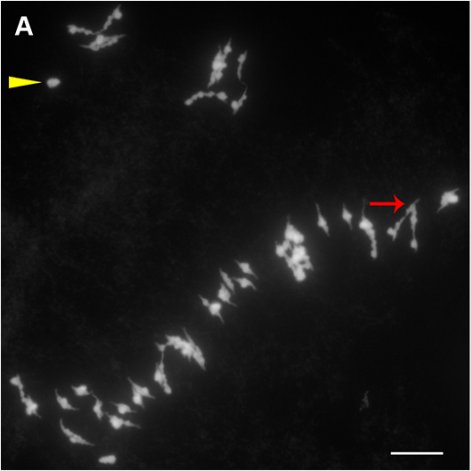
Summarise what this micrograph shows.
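Most chromosomes lie as paired bivalents, many in a cross or rod shape, strung along a curved band across the lower part of the field, with a few groups above. A small, compact single chromosome lies isolated near the upper left, unpaired with any partner. One association is a longer chain of chromosomes joined end to end, larger than the pairs around it. A dense clump of overlapping chromosomes sits in the middle of the band.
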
